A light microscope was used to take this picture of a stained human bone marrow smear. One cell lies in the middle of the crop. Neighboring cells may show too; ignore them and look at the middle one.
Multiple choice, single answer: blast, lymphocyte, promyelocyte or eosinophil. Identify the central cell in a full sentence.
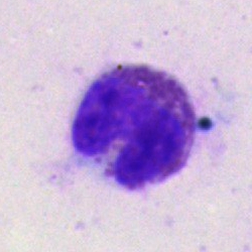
What the crop centres on is an eosinophil.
